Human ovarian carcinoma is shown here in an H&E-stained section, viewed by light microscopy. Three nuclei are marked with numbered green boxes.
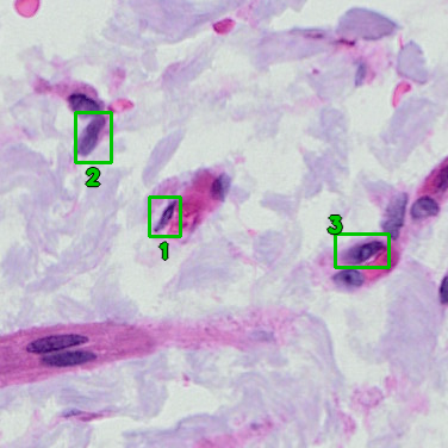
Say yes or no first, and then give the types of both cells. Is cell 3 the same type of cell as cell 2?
No, the proper labels are an endothelial cell for cell 3 and a fibroblast for cell 2.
